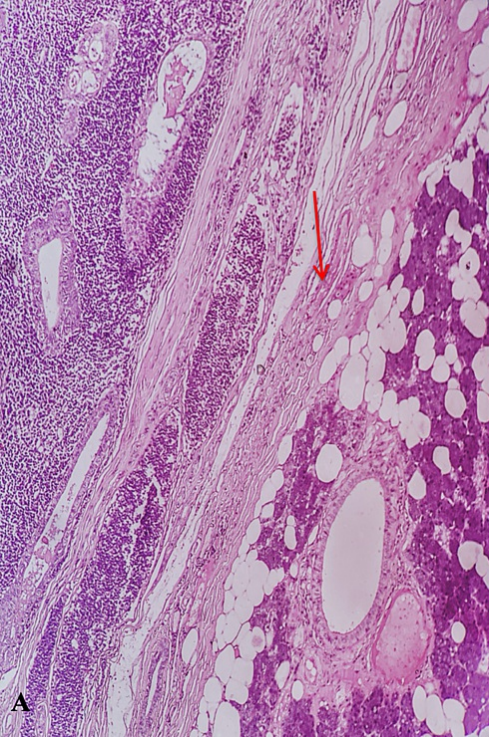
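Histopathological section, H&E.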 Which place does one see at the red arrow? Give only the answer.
Interface between the salivary gland parenchyma and the tumor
